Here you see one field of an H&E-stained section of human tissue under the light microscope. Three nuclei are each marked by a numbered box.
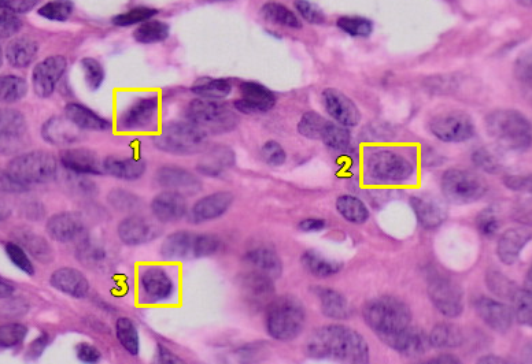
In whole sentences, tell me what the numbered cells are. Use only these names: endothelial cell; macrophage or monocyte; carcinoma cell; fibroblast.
Cells 1 and 2 are carcinoma cells. Cell 3 is a macrophage or monocyte.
